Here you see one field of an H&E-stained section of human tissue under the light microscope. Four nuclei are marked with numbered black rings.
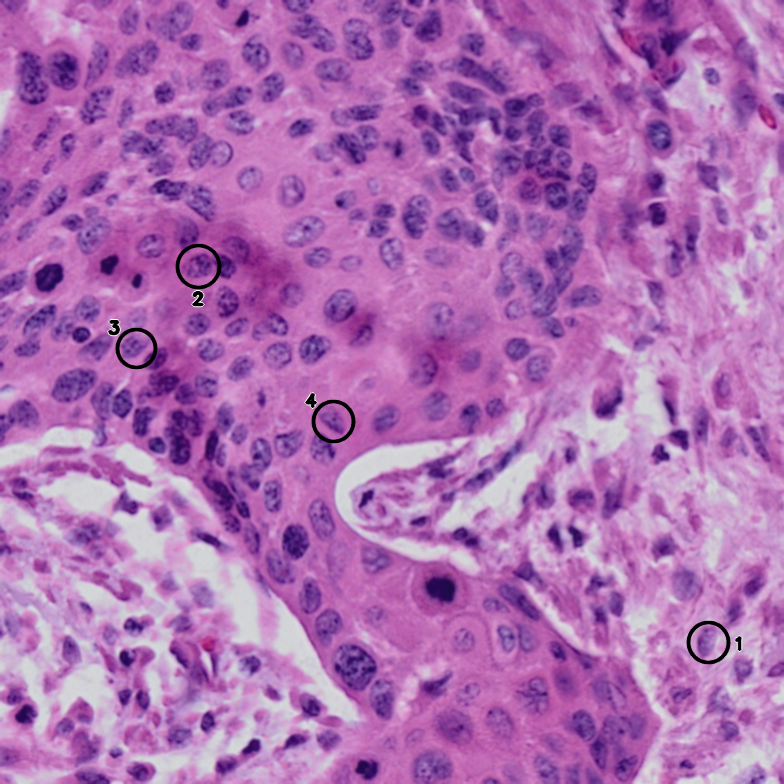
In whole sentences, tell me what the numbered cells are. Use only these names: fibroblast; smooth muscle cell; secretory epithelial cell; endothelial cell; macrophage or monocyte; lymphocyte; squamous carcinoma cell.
Cell 1 is a fibroblast, cell 2 is a squamous carcinoma cell, cell 3 is a squamous carcinoma cell and cell 4 is a squamous carcinoma cell.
